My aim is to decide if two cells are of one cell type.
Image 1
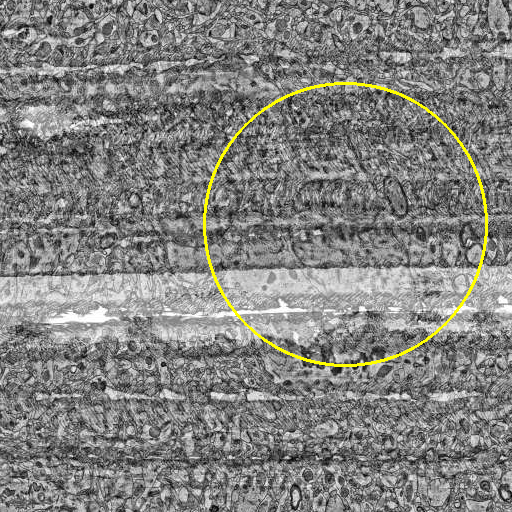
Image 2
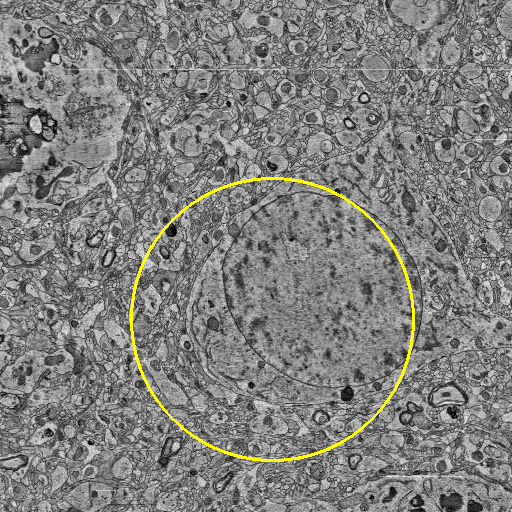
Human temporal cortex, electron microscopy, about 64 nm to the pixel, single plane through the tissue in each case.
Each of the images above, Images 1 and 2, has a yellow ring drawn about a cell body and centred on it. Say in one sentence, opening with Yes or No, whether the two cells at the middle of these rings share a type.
No, in Images 1 and 2 the cells at the middle of the rings fall into two types.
